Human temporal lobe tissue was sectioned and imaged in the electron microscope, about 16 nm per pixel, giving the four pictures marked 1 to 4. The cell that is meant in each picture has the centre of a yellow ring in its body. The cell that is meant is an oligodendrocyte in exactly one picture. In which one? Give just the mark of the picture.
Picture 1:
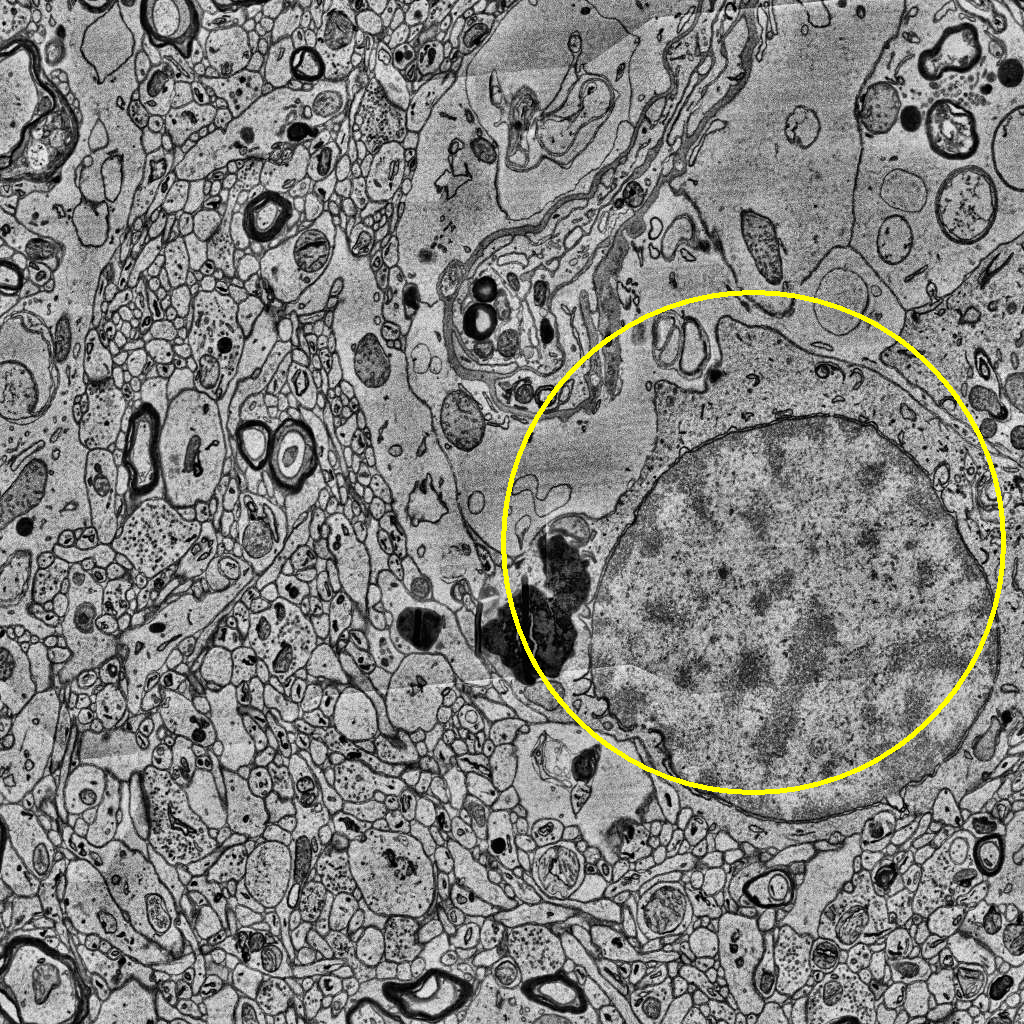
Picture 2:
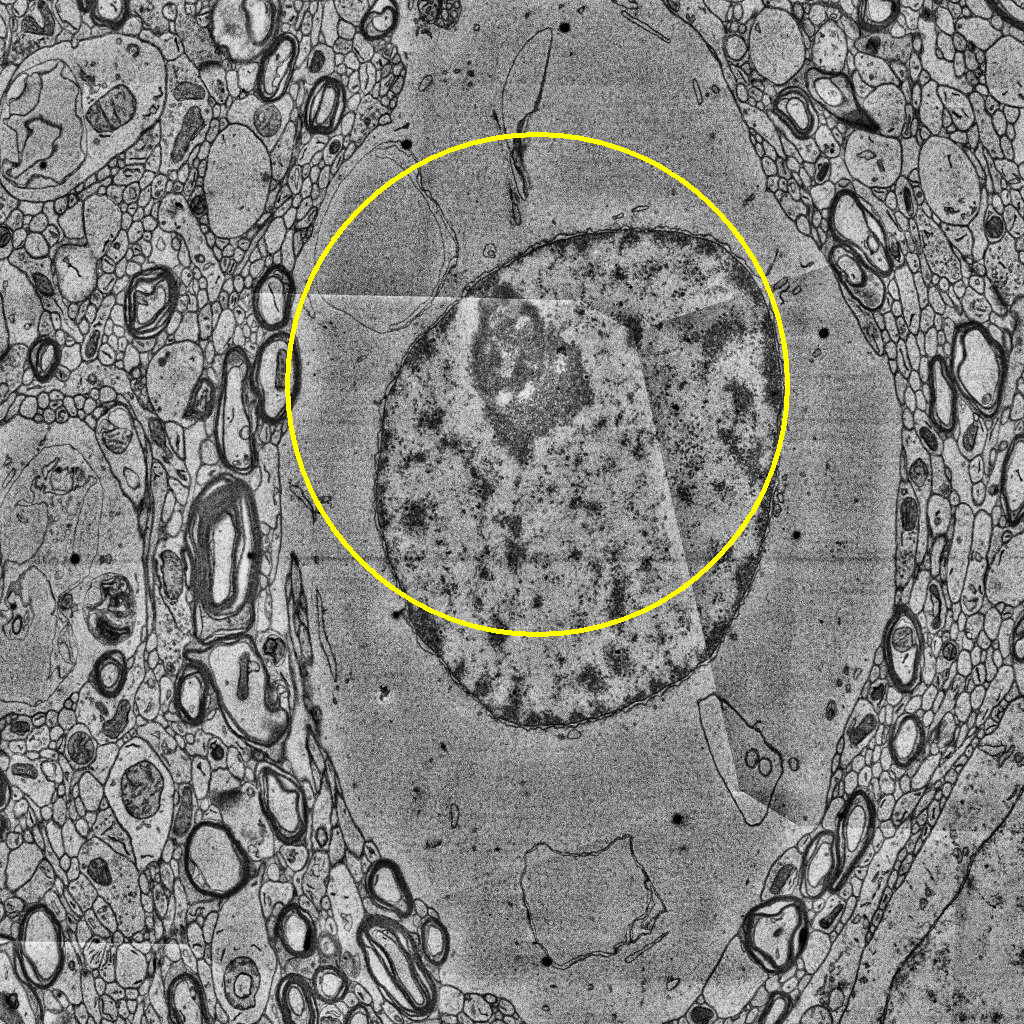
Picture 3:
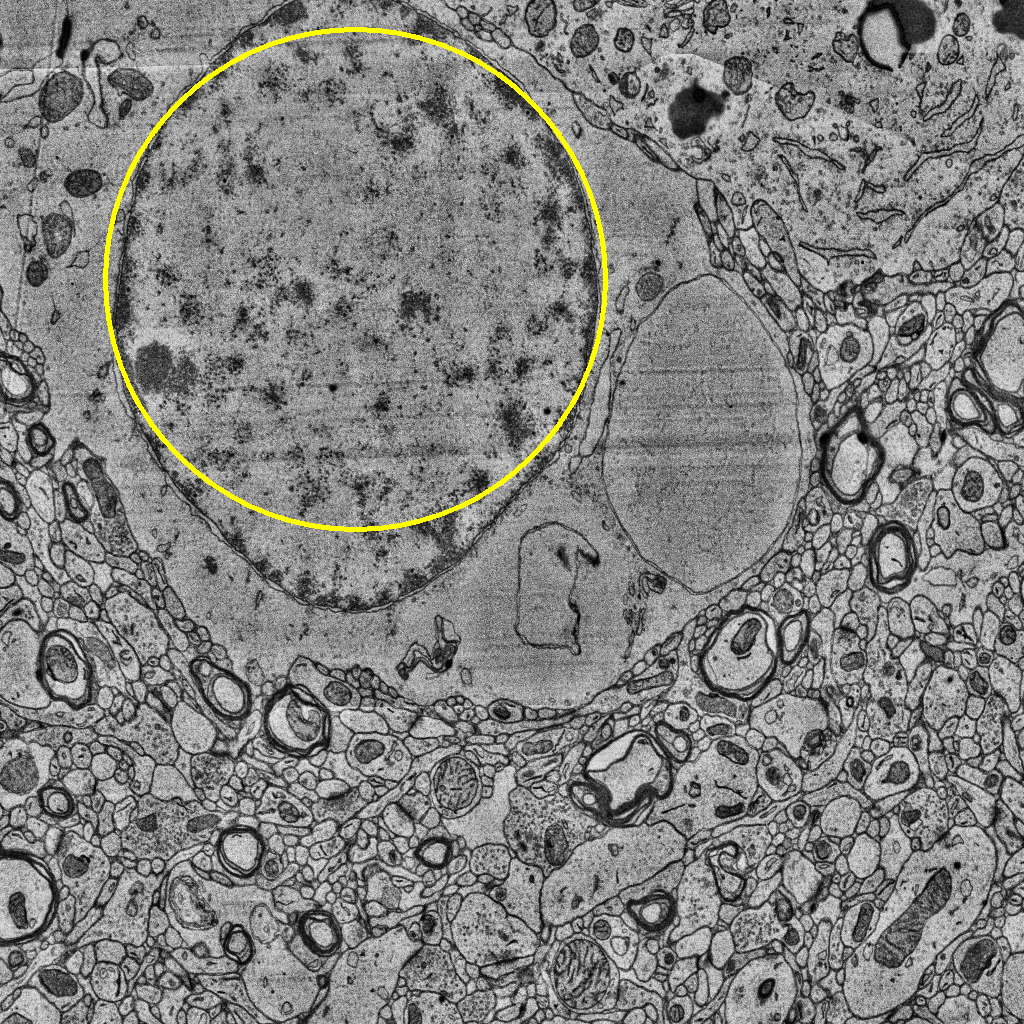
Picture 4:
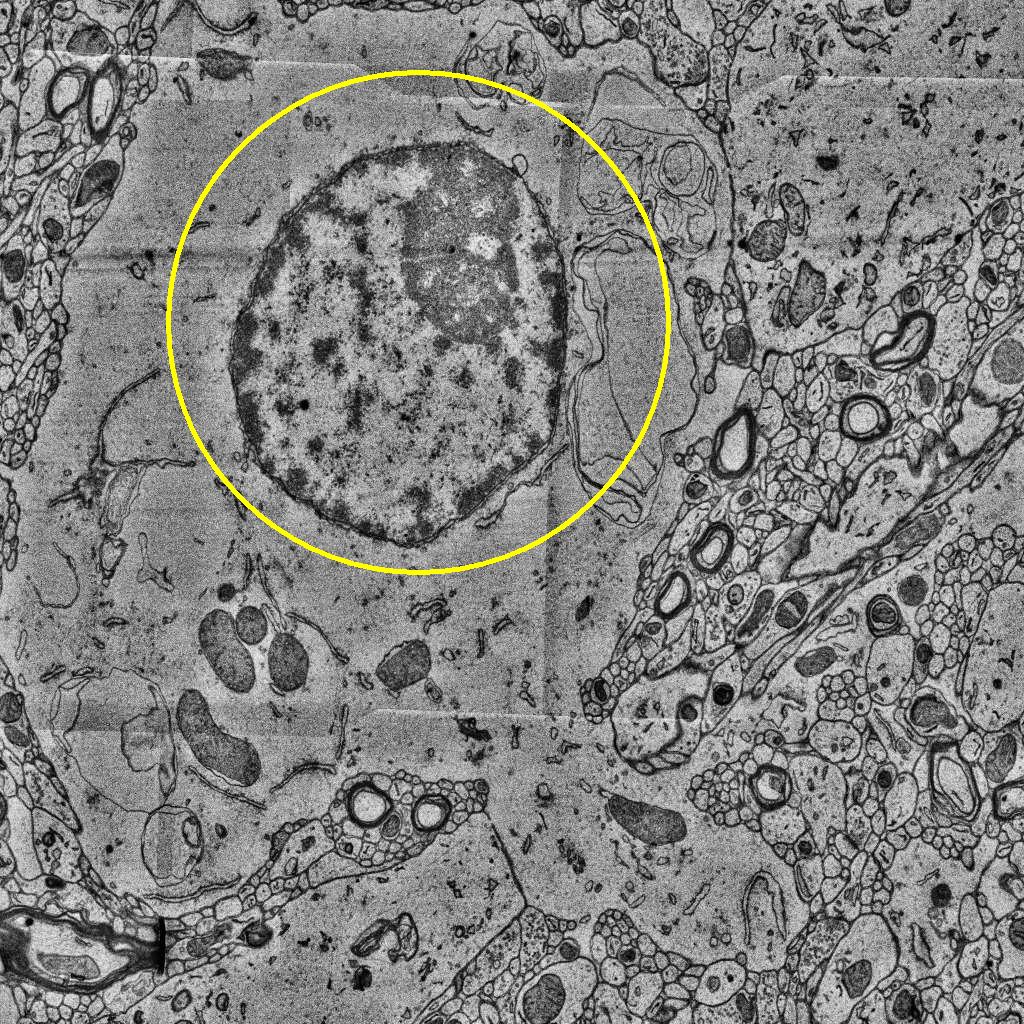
1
